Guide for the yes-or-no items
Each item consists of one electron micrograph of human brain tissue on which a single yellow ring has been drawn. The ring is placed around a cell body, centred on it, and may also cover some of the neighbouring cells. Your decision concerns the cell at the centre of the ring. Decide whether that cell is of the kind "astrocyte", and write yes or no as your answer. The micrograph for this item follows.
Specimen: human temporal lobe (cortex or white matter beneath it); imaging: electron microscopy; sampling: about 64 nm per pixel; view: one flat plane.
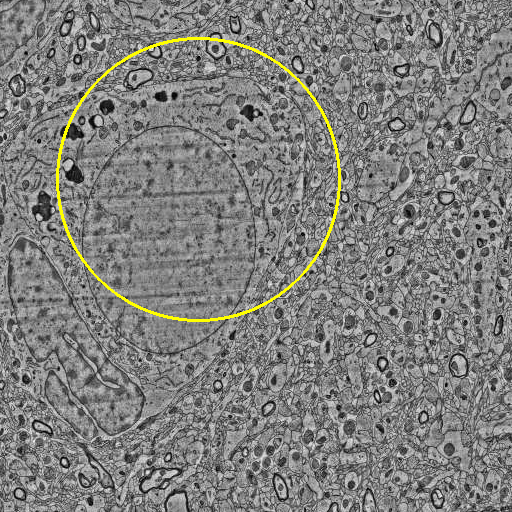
no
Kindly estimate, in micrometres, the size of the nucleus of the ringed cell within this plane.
The ringed cell's nucleus measures approximately 15 by 12 micrometres in this plane.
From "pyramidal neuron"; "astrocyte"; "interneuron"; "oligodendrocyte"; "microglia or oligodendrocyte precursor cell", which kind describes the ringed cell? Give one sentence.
The correct answer is that the cell is a pyramidal neuron.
